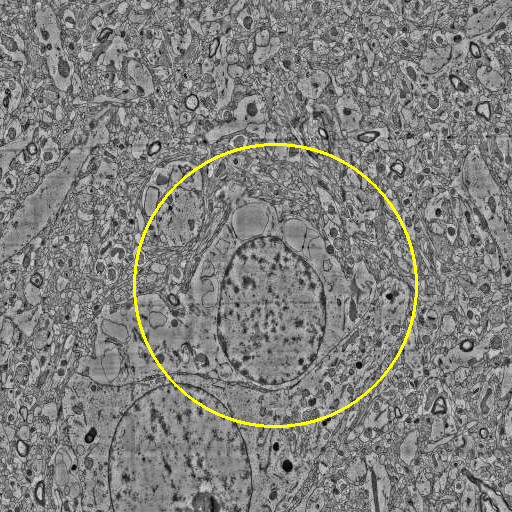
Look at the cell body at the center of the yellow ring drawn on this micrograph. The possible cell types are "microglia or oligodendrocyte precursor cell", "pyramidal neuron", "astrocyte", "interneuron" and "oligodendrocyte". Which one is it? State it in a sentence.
The cell in the middle of the ring is an astrocyte.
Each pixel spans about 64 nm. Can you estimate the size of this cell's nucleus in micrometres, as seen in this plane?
Roughly 9 by 7 micrometres in this plane, for the nucleus of the ringed cell.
